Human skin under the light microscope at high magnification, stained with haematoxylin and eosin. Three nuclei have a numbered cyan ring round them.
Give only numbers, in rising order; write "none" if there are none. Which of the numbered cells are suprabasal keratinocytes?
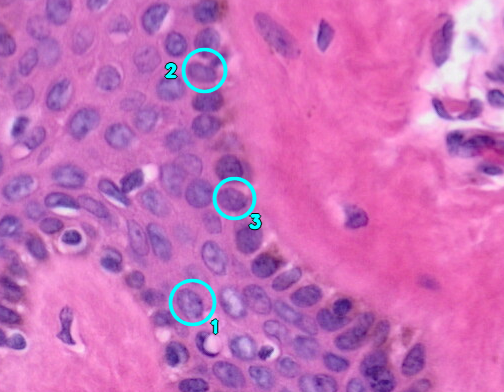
1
